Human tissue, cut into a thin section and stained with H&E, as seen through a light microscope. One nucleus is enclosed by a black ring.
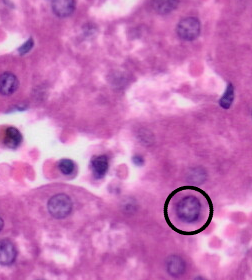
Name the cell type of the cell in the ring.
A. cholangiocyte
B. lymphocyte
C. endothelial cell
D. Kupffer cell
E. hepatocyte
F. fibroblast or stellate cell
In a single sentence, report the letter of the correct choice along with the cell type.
Here the correct option is E, since the cell in the ring is a hepatocyte.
